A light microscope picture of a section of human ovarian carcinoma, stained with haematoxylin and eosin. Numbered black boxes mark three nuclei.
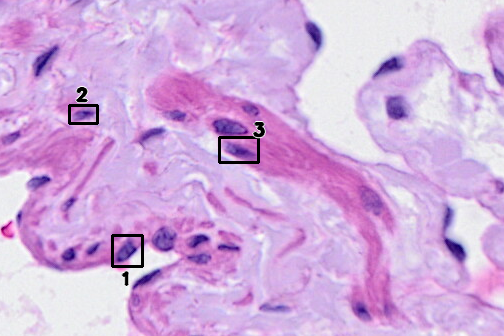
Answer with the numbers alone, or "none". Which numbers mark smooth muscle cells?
2, 3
